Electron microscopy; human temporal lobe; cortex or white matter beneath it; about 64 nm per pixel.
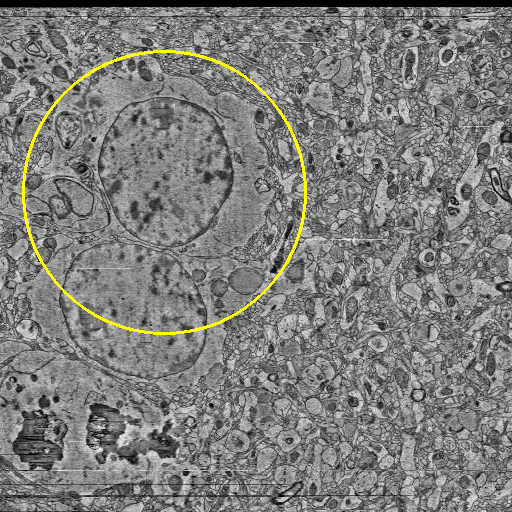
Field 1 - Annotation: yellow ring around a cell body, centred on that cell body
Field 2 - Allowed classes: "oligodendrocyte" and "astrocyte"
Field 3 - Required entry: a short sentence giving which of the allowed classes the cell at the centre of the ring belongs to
The centred cell is an astrocyte.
